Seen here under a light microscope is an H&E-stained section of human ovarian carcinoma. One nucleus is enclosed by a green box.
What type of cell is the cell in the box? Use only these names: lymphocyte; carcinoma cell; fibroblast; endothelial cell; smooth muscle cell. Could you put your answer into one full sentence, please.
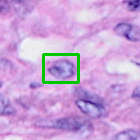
Within the stained tissue, the cell in the box is a fibroblast.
